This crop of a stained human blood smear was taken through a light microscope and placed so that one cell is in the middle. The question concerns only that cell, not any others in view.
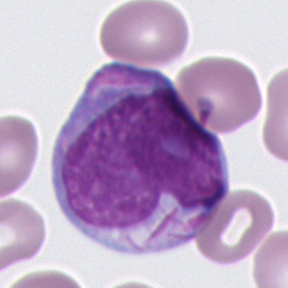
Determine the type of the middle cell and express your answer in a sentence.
The cell under consideration, at the middle of the crop, is an atypical promyelocyte.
